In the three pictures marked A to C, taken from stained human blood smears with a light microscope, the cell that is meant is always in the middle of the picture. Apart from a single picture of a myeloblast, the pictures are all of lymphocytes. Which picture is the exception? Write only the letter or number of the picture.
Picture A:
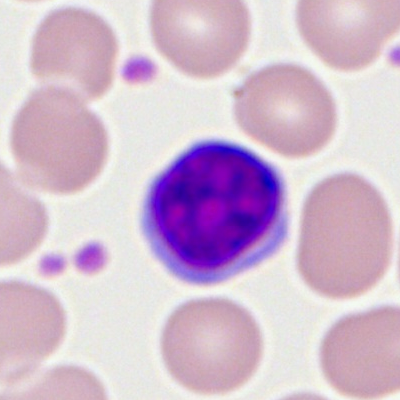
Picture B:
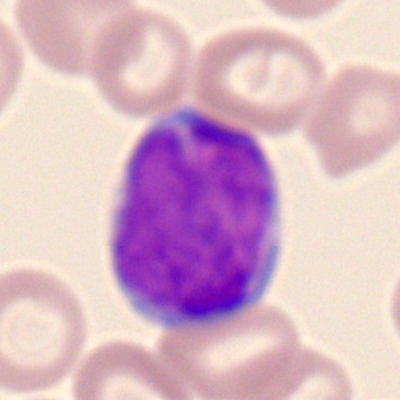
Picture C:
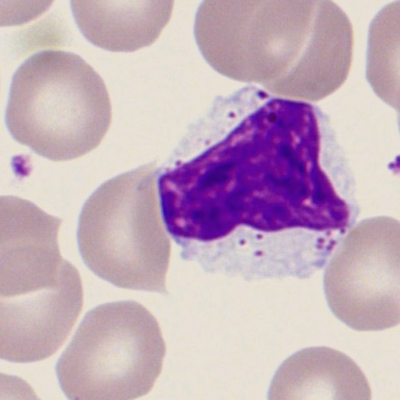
B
